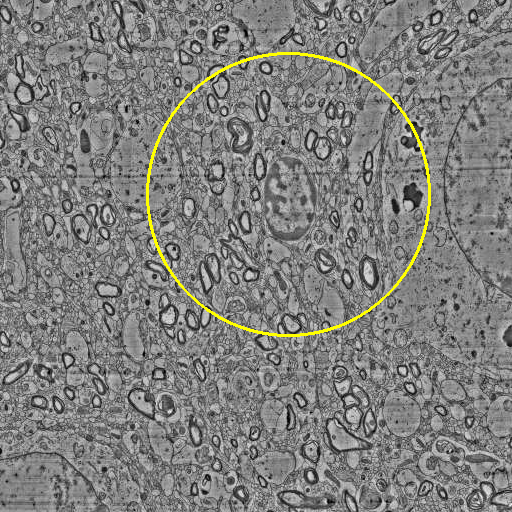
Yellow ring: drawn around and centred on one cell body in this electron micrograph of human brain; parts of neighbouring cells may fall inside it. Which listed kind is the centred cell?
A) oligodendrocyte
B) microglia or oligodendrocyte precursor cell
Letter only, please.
B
